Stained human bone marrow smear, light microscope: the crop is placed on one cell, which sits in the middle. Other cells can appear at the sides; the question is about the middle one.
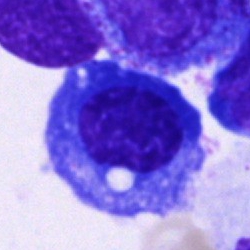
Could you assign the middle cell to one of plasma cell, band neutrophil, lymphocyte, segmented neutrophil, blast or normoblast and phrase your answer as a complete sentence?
Occupying the centre of the crop is a plasma cell.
